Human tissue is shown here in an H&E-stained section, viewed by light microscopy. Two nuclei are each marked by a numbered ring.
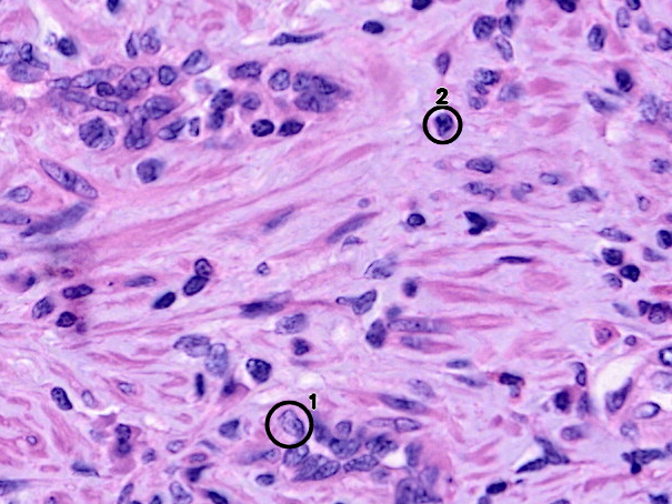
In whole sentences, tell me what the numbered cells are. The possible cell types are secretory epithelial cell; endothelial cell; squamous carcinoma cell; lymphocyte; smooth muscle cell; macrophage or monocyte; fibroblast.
Cell 1 is an endothelial cell and cell 2 is a lymphocyte.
